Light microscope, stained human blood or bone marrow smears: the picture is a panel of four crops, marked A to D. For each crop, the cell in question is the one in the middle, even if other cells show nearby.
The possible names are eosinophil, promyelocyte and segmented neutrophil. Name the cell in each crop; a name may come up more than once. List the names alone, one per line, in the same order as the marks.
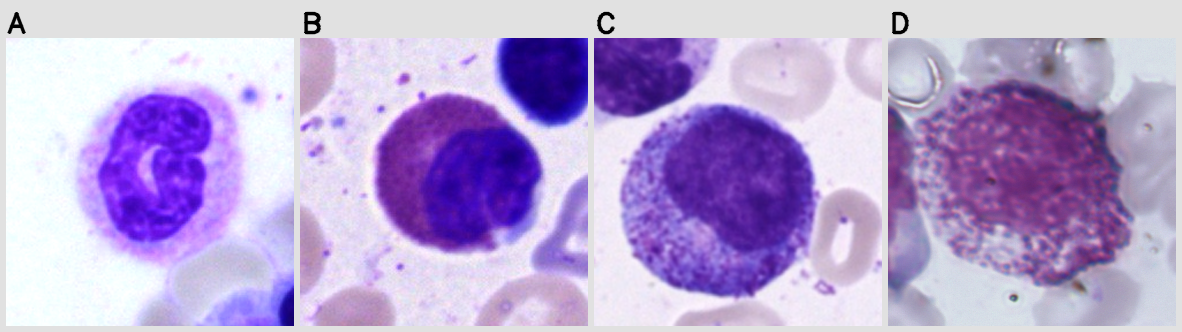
segmented neutrophil
eosinophil
promyelocyte
promyelocyte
